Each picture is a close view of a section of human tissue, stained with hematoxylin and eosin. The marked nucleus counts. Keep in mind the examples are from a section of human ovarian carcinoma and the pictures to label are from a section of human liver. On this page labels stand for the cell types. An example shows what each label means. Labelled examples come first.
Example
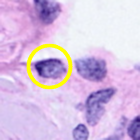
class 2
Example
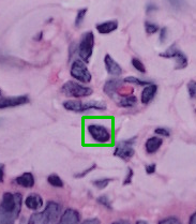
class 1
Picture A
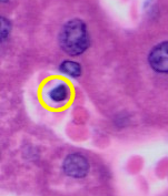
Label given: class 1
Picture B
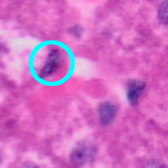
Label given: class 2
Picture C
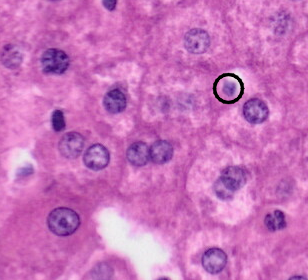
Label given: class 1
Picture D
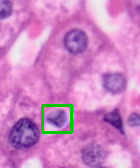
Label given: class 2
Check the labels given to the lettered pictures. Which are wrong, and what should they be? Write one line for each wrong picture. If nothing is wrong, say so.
None of the labels needs changing.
